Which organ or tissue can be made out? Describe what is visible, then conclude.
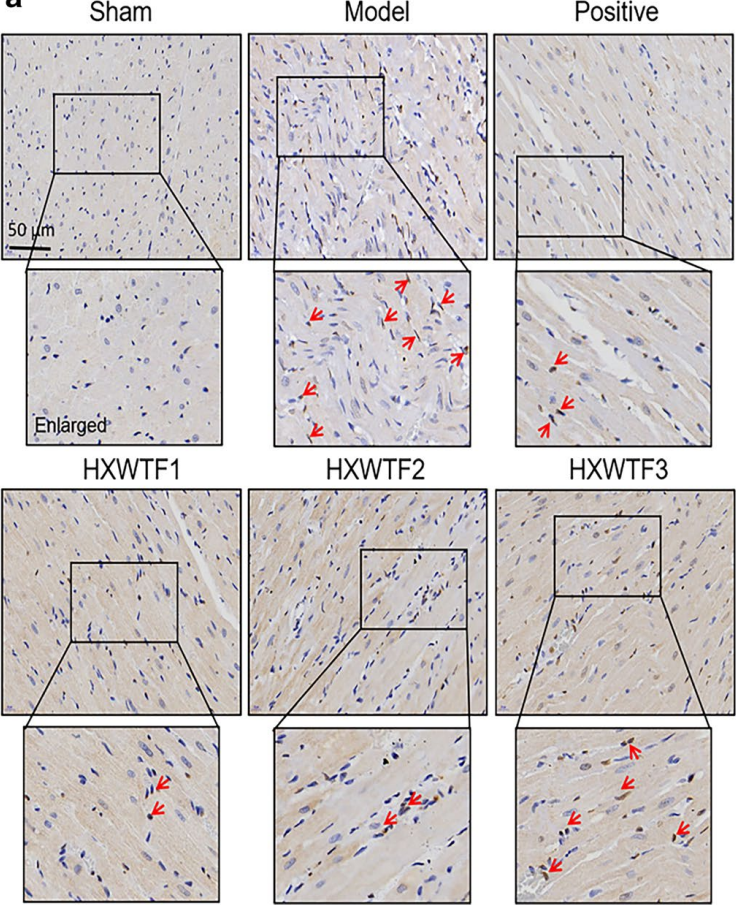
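Long parallel fibres with pale tan cytoplasm. Elongated nuclei lie along the fibres. So: heart tissues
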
